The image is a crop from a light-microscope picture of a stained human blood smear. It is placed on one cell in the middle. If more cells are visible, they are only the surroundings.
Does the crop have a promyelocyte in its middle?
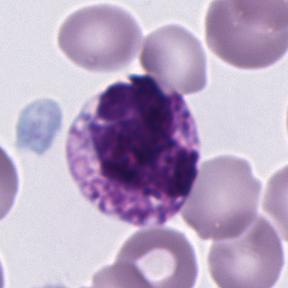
no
